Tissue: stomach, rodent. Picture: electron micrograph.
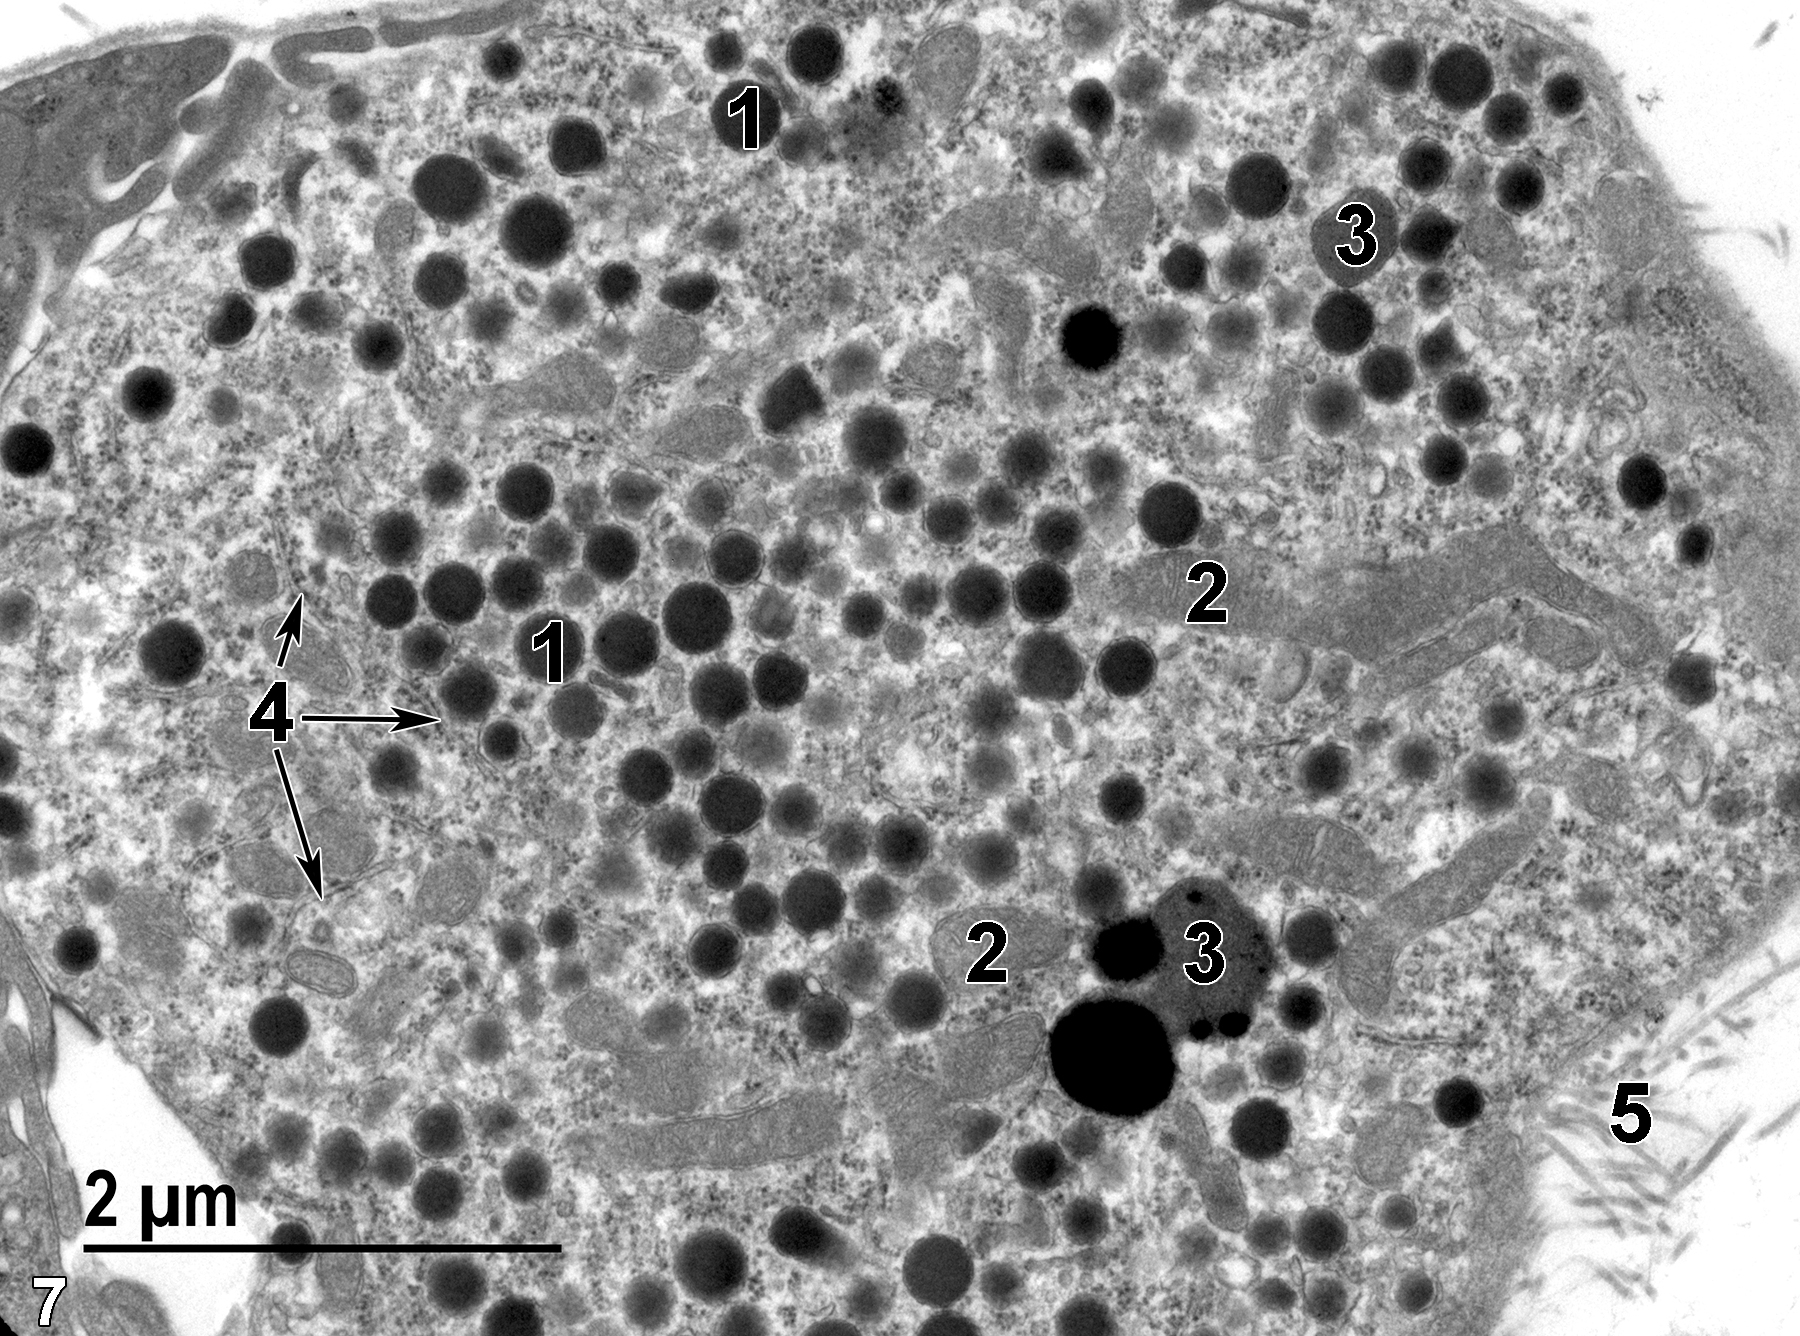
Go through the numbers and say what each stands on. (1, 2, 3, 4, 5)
1. electron-dense secretory granules
2. mitochondria
3. lysosomes
4. rough endoplasmic reticulum
5. collagen fibrils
